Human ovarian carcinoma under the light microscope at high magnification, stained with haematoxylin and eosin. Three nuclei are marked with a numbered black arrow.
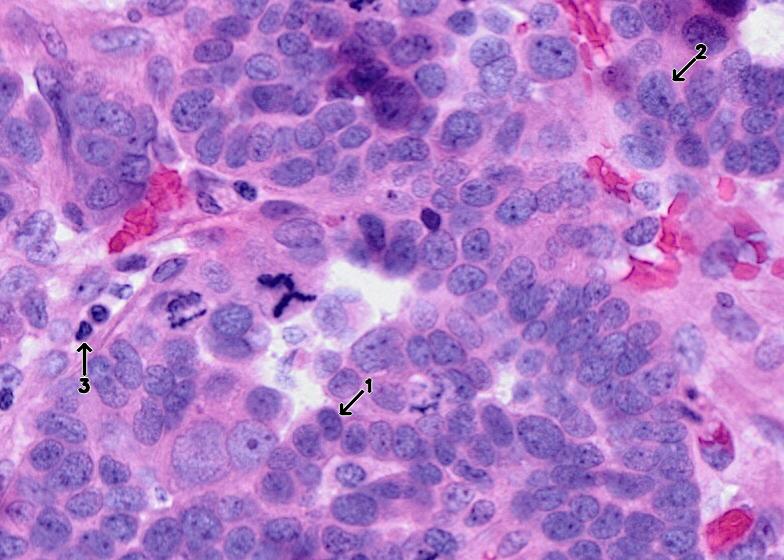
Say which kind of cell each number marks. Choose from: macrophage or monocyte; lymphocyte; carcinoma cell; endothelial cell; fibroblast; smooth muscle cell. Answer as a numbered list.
1. carcinoma cell
2. carcinoma cell
3. lymphocyte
